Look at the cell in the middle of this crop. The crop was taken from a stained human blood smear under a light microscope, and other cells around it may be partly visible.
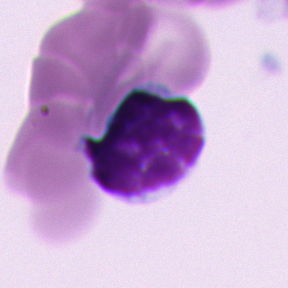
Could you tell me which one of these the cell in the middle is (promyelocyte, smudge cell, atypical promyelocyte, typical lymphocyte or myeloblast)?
typical lymphocyte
